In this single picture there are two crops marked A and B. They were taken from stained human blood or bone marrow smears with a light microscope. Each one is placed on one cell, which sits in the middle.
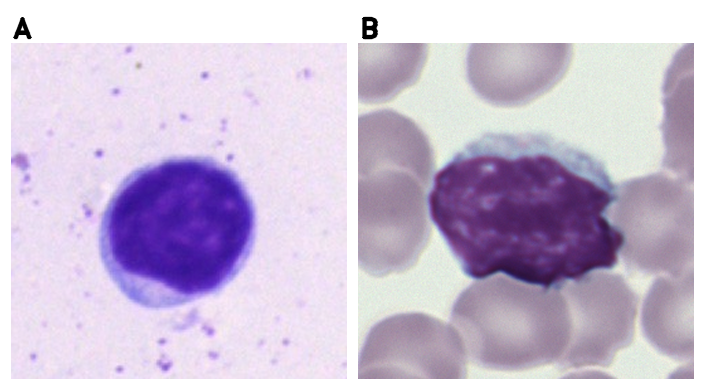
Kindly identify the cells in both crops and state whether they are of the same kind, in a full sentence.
Yes, both crops show lymphocytes, and that holds for each one.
